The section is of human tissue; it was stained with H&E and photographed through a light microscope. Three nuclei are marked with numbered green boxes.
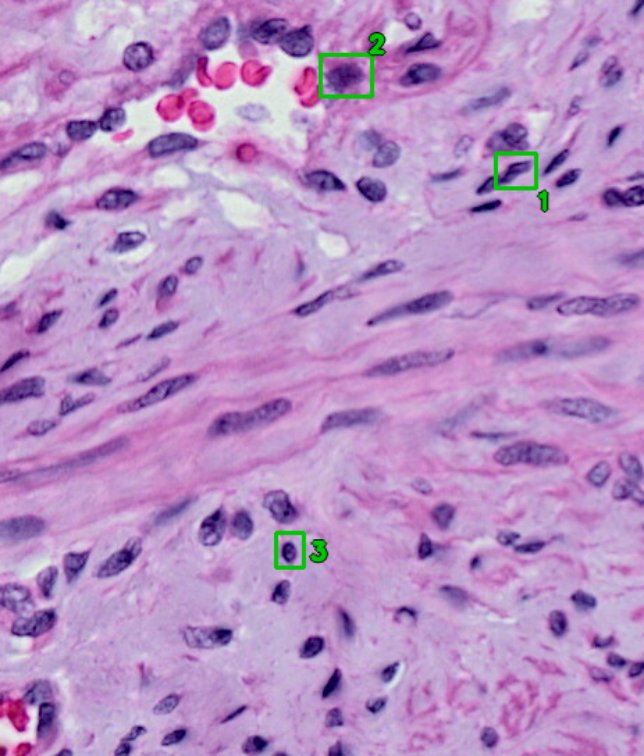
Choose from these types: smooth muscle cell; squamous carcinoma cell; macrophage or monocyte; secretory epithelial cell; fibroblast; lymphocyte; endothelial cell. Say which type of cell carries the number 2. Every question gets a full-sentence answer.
The mark numbered 2 indicates the nucleus of an endothelial cell.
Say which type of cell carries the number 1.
The cell pointed out by number 1 is a fibroblast.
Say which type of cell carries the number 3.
Cell 3 in the field of view is a fibroblast.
